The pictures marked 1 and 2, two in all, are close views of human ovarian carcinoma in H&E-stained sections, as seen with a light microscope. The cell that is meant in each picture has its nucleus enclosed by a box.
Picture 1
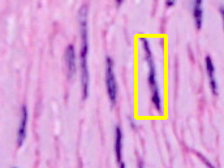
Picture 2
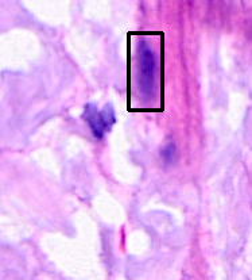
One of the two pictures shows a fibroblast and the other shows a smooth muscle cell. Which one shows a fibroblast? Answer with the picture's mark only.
1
